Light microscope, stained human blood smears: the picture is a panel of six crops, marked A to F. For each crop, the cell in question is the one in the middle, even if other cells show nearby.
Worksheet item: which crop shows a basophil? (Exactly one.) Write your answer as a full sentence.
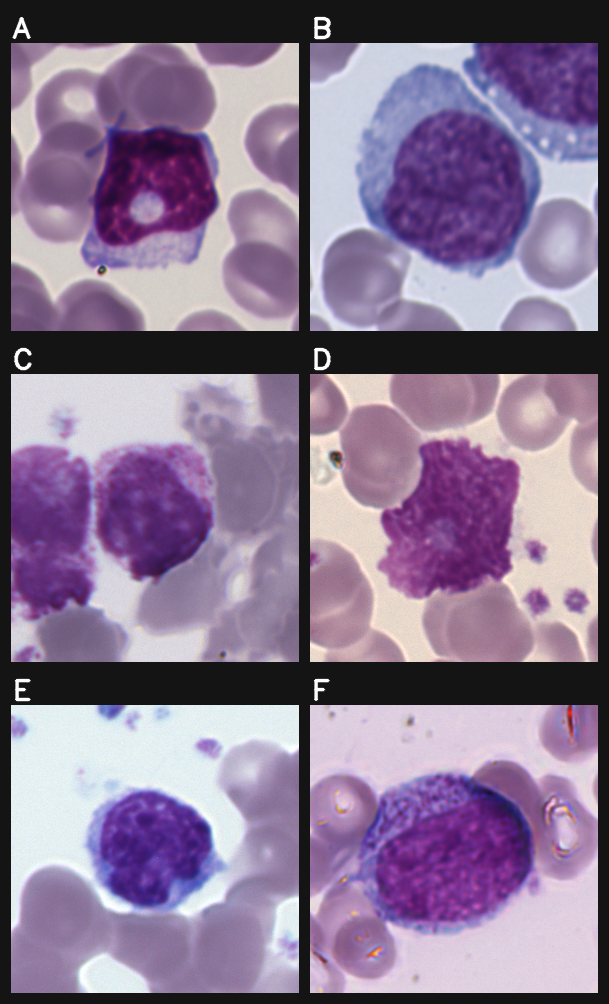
In the set of crops, crop C is the one that contains a basophil.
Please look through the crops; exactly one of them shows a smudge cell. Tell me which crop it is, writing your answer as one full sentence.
The crop marked D is the one that shows a smudge cell.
